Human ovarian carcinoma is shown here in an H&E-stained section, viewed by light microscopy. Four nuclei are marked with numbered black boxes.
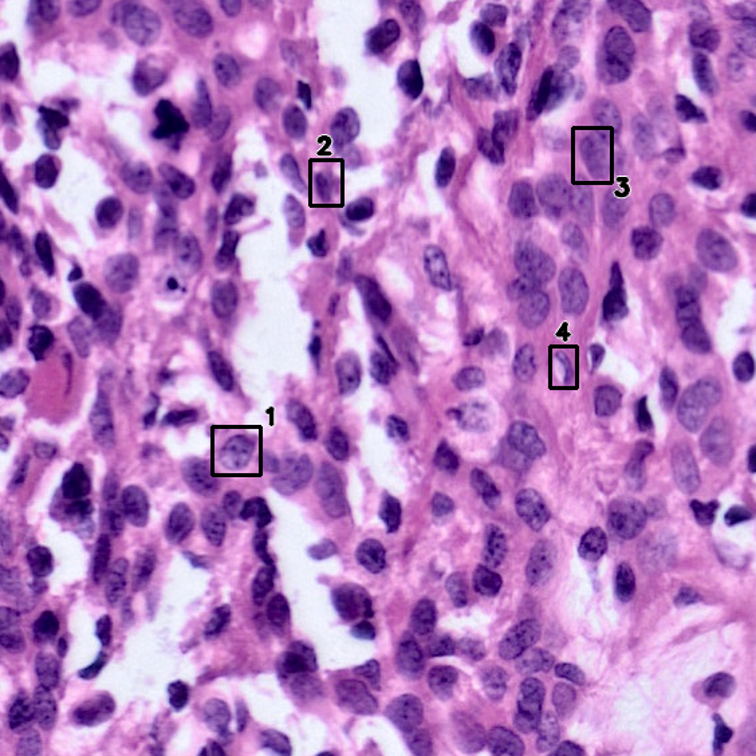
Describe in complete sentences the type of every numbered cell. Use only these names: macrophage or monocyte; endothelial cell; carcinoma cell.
Cell 1 is a macrophage or monocyte. Cells 2 and 3 are carcinoma cells. Cell 4 is an endothelial cell.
